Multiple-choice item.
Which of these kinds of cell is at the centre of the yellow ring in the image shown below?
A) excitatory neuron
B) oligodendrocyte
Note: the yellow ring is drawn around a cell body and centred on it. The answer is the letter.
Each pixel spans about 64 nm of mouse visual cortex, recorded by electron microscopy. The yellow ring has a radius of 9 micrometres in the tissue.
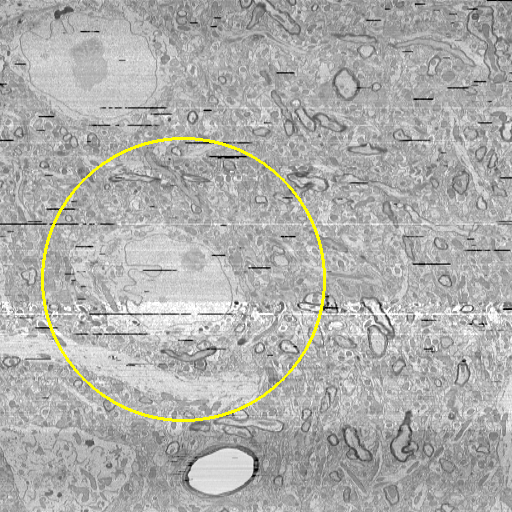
A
